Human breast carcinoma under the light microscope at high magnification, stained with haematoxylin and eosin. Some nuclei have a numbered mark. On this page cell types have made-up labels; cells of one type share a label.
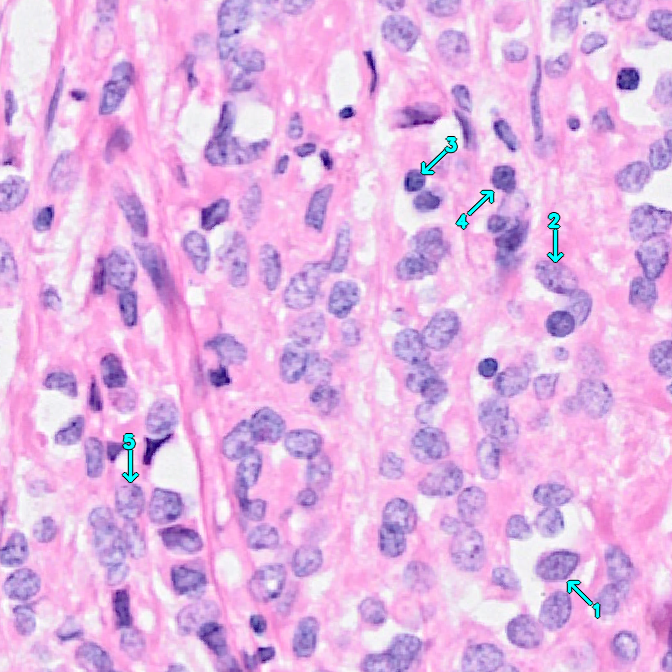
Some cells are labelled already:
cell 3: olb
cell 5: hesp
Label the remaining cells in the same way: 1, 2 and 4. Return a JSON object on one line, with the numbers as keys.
{"1": "hesp", "2": "hesp", "4": "olb"}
